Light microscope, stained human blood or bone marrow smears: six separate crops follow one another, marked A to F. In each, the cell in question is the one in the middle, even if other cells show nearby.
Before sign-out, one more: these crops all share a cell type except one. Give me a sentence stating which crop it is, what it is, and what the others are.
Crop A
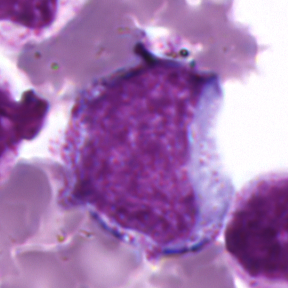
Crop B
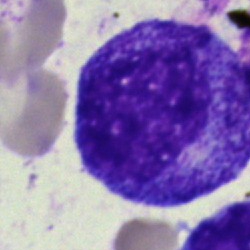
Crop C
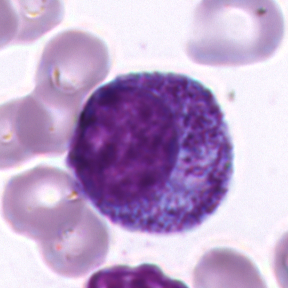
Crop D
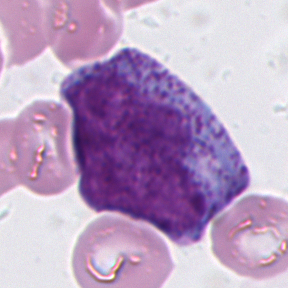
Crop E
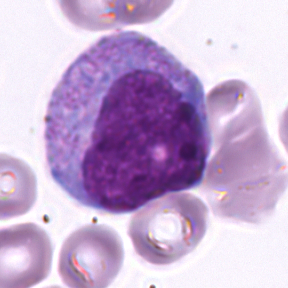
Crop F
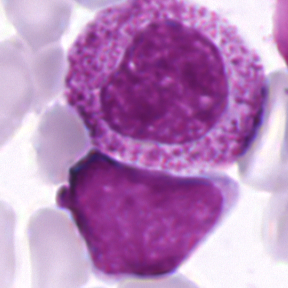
The set is made up of promyelocytes, with the single exception of crop F, which is a myelocyte.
